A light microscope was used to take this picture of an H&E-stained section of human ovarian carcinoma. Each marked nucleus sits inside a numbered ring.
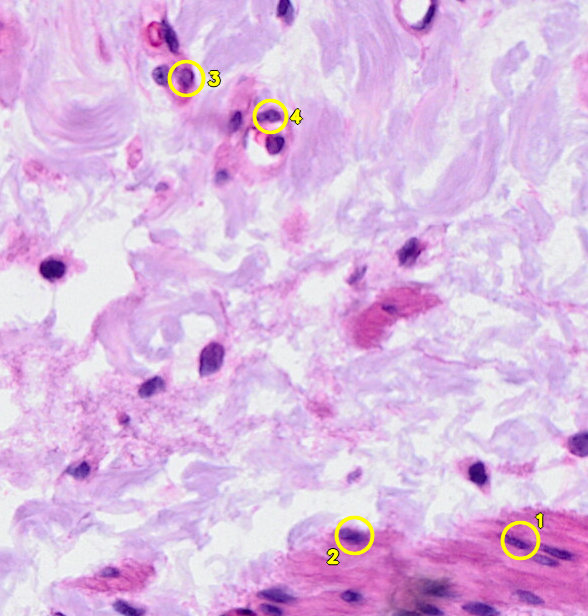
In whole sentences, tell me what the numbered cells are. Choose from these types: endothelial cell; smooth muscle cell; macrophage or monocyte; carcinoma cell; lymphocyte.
Cell 1 is a smooth muscle cell, cell 2 is a smooth muscle cell, cell 3 is an endothelial cell and cell 4 is an endothelial cell.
